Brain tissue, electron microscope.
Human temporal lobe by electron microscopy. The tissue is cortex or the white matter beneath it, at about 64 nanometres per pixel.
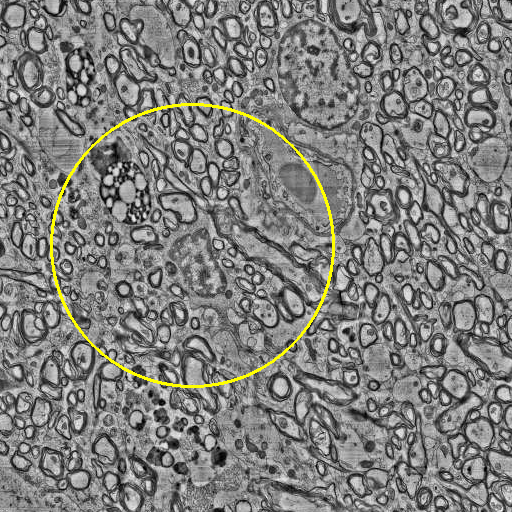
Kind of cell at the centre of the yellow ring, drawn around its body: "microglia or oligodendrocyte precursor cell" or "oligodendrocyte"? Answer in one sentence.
The ring's centre falls on an oligodendrocyte.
